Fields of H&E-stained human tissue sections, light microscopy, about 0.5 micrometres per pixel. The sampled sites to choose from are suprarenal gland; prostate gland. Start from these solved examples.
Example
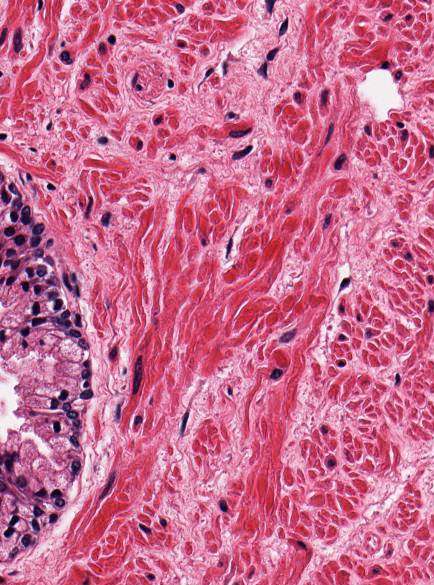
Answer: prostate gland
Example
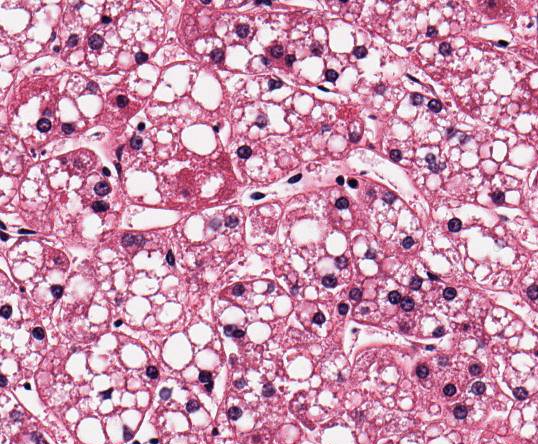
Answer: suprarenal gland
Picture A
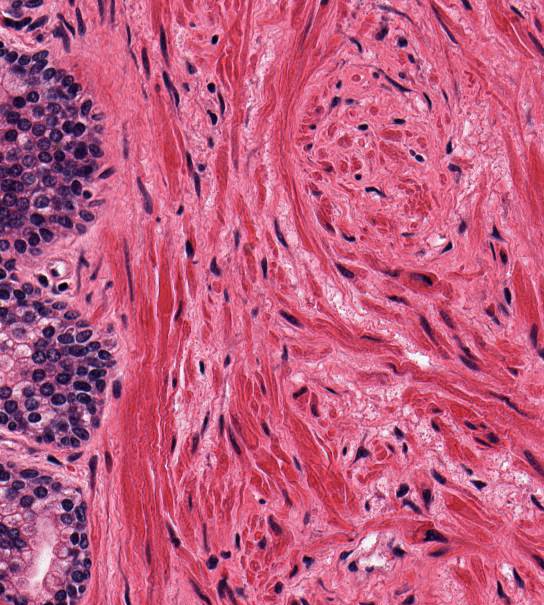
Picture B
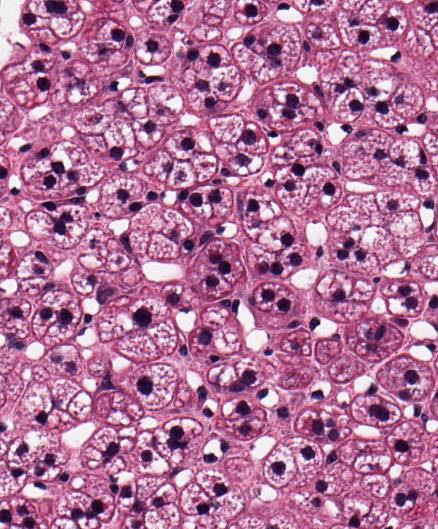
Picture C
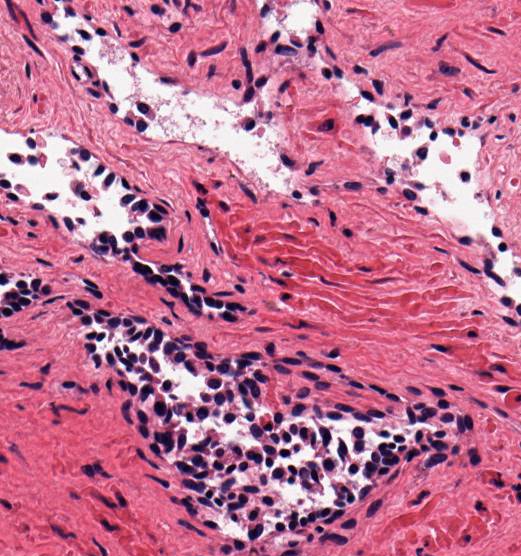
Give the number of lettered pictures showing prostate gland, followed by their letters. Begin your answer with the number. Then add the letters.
2, namely A, C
